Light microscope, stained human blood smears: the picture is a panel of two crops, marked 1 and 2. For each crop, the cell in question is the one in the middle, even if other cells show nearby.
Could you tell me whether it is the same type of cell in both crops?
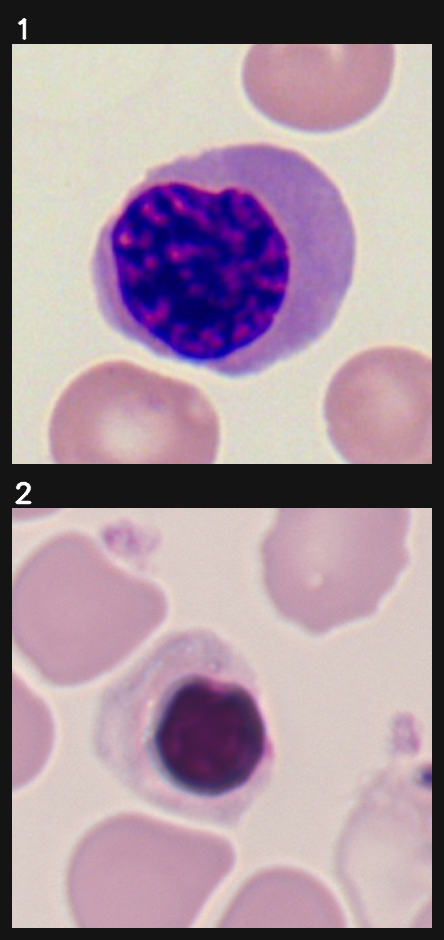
yes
